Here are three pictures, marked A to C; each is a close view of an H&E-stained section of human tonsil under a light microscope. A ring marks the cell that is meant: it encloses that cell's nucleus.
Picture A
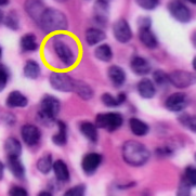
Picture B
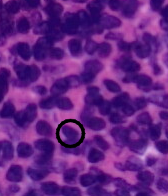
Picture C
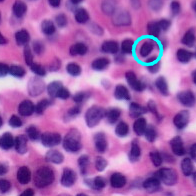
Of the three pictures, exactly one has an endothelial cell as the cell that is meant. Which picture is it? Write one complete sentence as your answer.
It is picture A that shows the endothelial cell.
